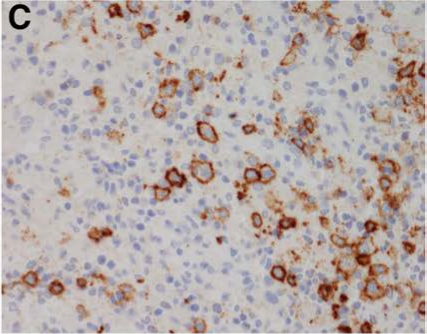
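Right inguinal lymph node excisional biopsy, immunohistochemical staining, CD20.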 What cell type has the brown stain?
large atypical cells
